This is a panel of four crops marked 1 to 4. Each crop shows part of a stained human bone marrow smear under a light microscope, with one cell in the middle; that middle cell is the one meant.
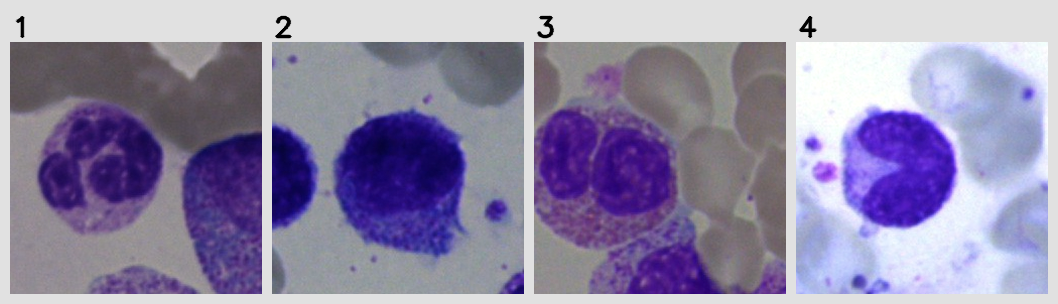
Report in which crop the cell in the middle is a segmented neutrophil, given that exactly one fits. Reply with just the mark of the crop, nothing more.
1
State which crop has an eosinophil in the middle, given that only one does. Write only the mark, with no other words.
3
